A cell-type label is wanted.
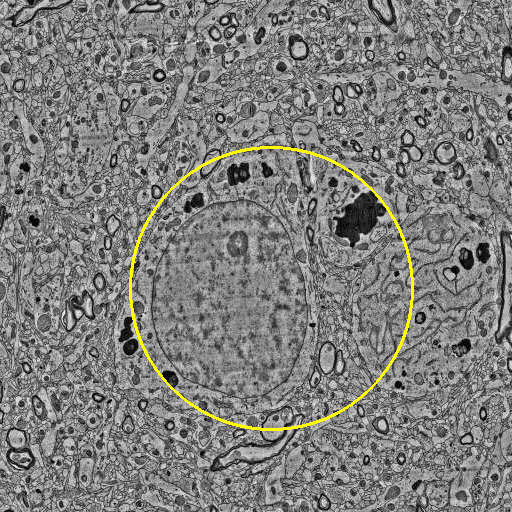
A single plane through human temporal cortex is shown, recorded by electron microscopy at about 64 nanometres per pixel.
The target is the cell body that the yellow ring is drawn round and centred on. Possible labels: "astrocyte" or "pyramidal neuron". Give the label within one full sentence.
Of the labels offered, the cell in the middle of the yellow ring is a pyramidal neuron.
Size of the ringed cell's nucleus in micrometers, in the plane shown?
About 13 by 10 micrometres in this plane.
